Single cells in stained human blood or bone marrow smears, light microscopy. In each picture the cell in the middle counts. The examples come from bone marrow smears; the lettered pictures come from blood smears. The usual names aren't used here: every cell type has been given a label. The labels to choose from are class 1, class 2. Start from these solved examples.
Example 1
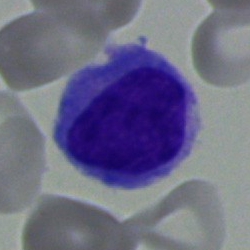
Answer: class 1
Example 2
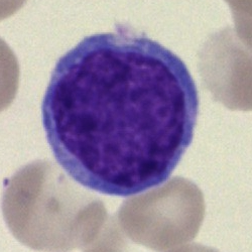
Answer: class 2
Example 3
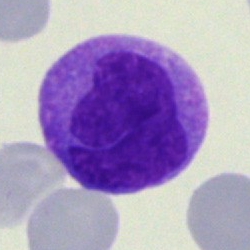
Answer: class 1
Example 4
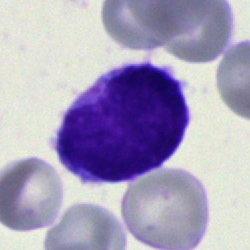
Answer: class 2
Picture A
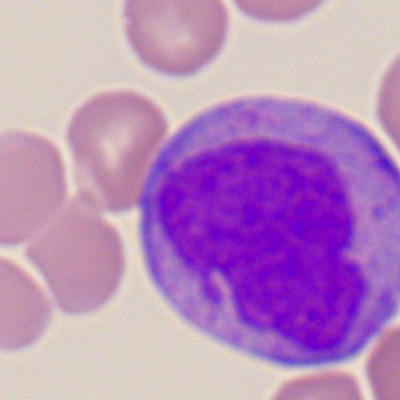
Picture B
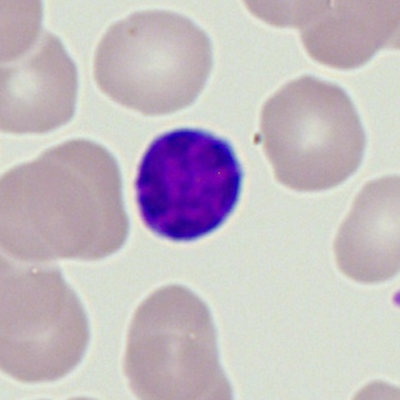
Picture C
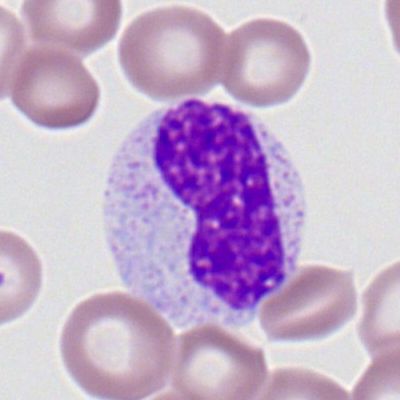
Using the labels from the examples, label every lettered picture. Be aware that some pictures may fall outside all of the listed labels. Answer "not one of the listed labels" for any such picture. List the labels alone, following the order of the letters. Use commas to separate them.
class 1, not one of the listed labels, class 1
